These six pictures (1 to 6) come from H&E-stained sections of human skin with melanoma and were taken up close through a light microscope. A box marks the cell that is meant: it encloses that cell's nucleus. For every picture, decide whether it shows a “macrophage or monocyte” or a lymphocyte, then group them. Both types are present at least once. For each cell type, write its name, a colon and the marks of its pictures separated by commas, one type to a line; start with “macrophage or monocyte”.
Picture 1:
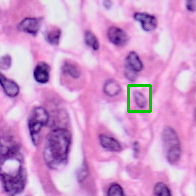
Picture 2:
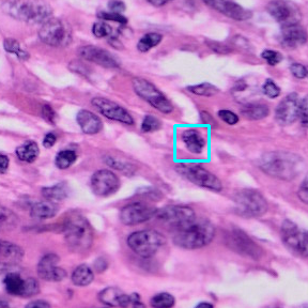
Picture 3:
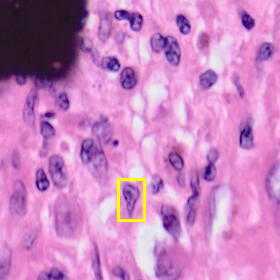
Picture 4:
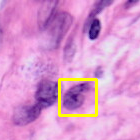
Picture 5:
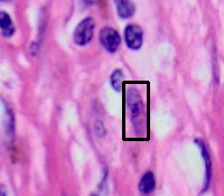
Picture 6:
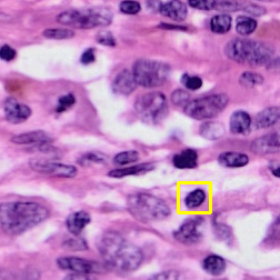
macrophage or monocyte: 1, 3, 4, 5
lymphocyte: 2, 6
